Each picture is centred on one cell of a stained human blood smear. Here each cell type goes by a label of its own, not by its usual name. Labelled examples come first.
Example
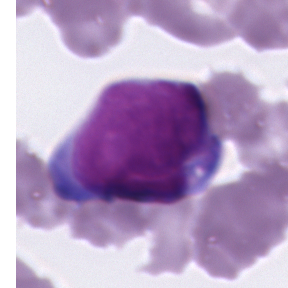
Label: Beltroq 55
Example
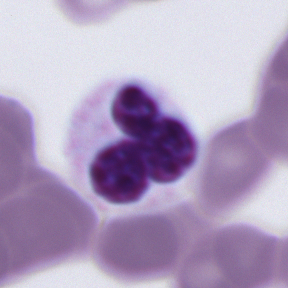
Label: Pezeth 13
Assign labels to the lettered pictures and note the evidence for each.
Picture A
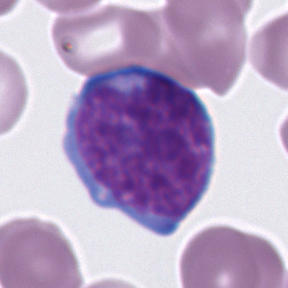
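Label: Beltroq 55. The cytoplasm forms a thin rim that is widest along the lower left of the cell.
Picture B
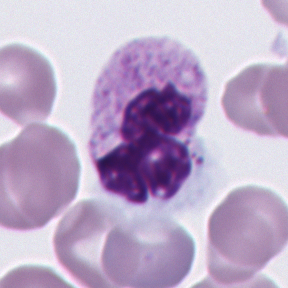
Label: Pezeth 13. The cytoplasm is abundant and widest above the nucleus.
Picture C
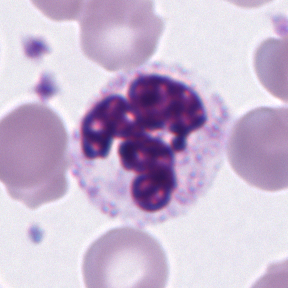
Label: Pezeth 13. The cytoplasm is plentiful and very pale pinkish.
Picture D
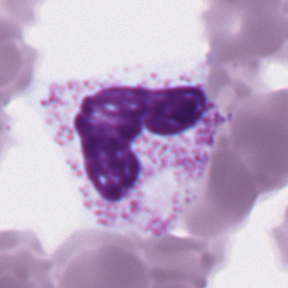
Label: Pezeth 13. The cytoplasm between the granules is very pale, nearly colourless.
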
